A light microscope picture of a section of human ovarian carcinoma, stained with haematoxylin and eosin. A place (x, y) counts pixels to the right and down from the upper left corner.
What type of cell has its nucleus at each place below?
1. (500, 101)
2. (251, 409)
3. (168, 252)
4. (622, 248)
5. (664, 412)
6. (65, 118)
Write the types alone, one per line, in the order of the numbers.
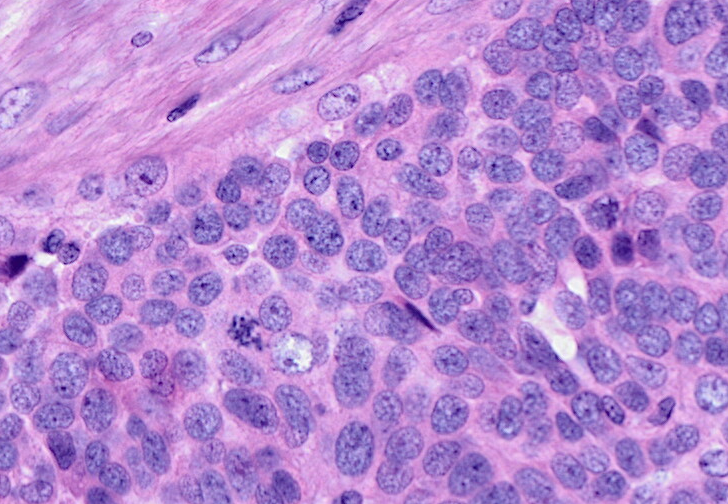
carcinoma cell
carcinoma cell
carcinoma cell
carcinoma cell
macrophage or monocyte
fibroblast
